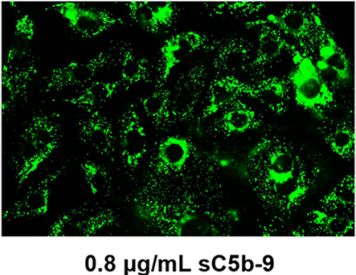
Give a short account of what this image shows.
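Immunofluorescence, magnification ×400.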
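Fine green granules fill the cytoplasm around dark, unstained nuclei. Several cells show large, bright, confluent green patches and rounded outlines.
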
